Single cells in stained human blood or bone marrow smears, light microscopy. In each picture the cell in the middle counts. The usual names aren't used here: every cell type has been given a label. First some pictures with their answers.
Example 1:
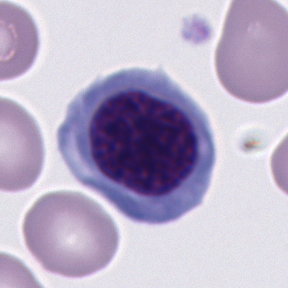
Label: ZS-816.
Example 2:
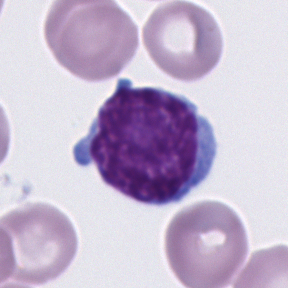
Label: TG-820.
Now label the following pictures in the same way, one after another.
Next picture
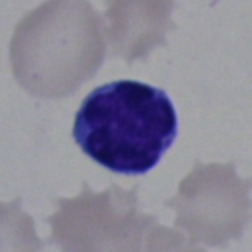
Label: TG-820.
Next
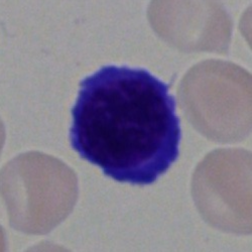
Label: ZS-816.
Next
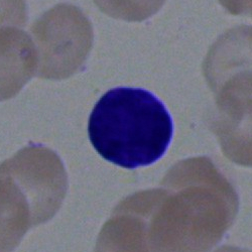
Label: TG-820.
